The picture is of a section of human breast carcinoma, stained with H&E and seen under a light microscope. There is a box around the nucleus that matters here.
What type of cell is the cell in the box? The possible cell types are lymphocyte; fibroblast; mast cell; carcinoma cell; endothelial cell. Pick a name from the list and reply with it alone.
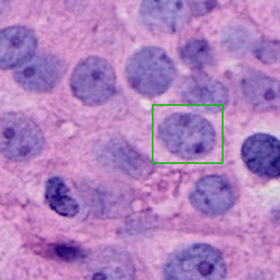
carcinoma cell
